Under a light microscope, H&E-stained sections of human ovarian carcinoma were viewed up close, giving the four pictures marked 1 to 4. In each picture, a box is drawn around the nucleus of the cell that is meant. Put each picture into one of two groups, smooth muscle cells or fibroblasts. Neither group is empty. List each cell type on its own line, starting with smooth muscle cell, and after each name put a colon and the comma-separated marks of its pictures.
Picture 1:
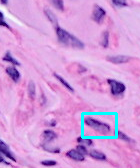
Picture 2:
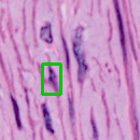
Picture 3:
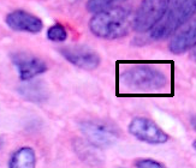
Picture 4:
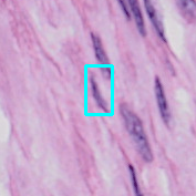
smooth muscle cell: 1
fibroblast: 2, 3, 4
